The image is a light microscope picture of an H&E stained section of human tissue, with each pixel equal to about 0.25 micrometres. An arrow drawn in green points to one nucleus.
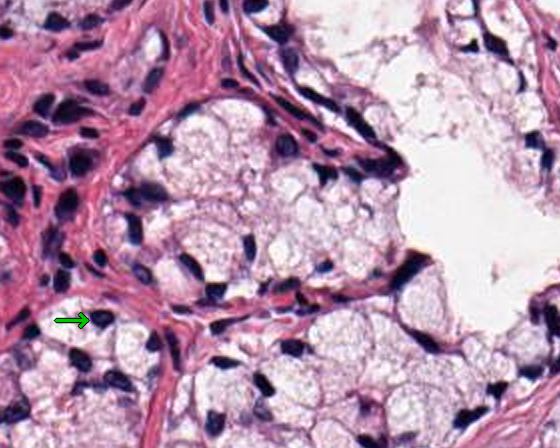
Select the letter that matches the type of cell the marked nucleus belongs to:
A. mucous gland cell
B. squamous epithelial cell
A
